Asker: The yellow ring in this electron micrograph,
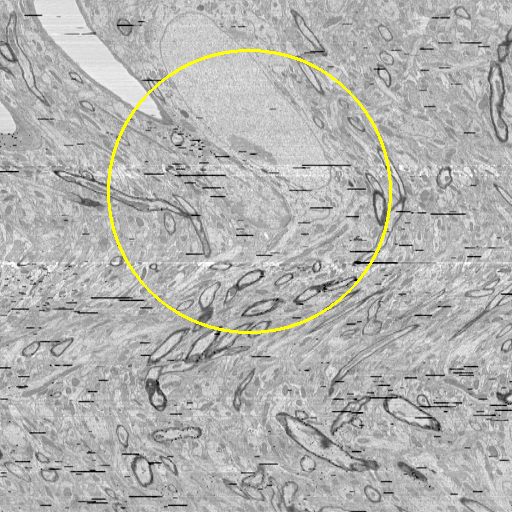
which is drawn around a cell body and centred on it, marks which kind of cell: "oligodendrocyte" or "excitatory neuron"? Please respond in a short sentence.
The marked cell is an oligodendrocyte.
